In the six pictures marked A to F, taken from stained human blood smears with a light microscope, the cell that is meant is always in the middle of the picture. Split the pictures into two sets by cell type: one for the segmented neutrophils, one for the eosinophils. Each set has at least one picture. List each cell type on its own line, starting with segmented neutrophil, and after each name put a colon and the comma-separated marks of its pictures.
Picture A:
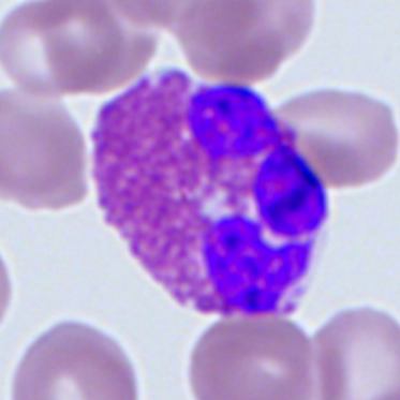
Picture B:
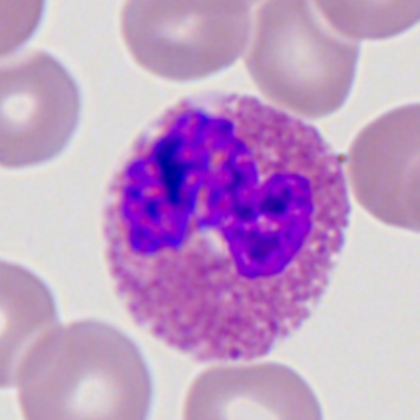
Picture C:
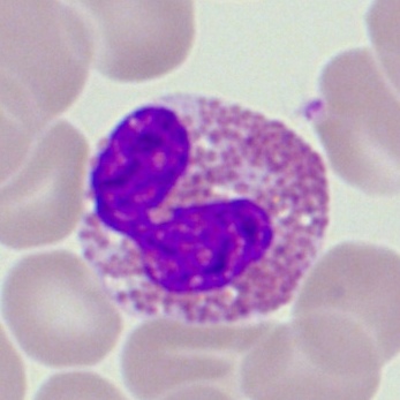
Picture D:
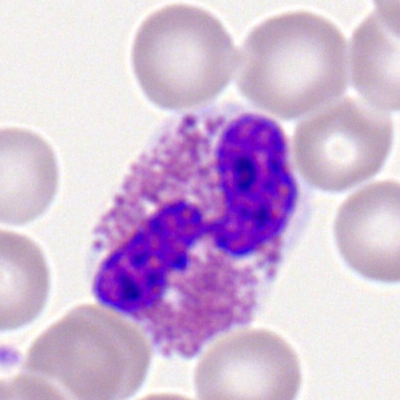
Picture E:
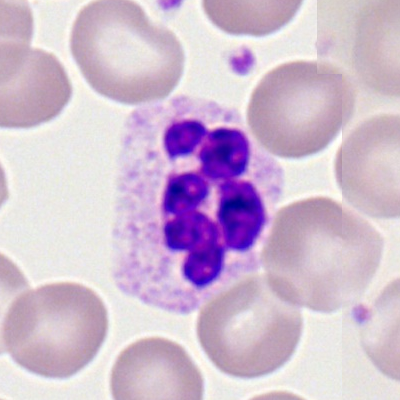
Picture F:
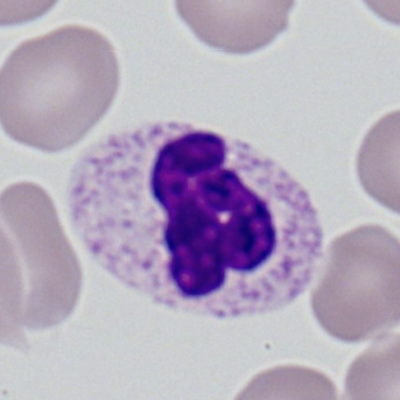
segmented neutrophil: E, F
eosinophil: A, B, C, D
